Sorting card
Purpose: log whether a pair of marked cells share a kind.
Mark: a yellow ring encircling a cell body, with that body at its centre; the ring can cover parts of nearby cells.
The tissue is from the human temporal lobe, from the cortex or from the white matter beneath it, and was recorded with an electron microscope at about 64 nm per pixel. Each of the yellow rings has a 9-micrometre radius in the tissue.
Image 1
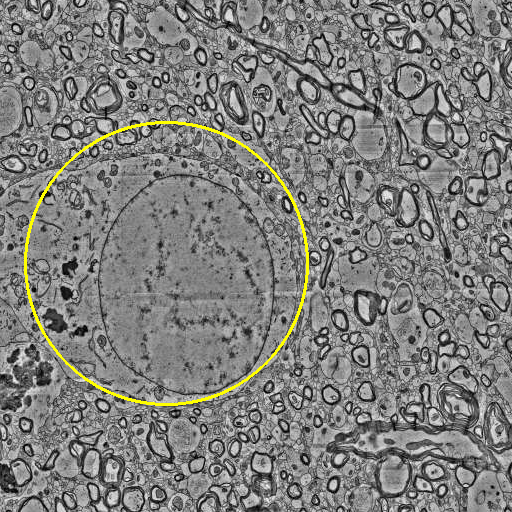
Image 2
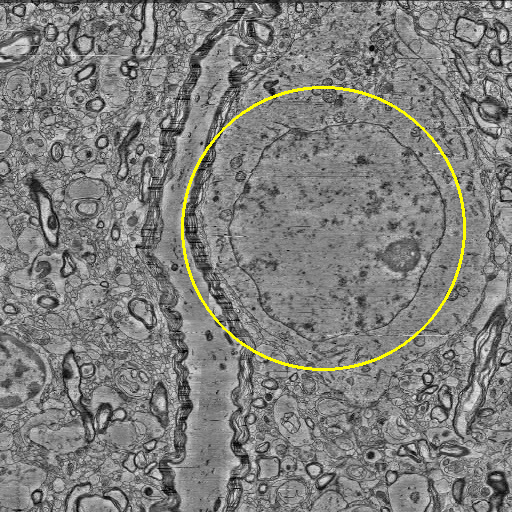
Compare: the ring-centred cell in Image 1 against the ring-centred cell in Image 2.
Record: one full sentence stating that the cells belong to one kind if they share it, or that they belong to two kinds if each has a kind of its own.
Across Images 1 and 2, the two ring-centred cells belong to one kind.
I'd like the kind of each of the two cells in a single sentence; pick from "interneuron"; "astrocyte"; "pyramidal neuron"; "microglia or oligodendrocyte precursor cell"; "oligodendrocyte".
Each of the two pictures has a pyramidal neuron at the ring centre.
